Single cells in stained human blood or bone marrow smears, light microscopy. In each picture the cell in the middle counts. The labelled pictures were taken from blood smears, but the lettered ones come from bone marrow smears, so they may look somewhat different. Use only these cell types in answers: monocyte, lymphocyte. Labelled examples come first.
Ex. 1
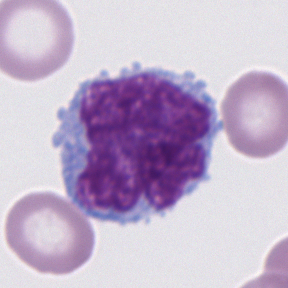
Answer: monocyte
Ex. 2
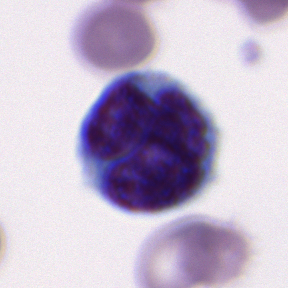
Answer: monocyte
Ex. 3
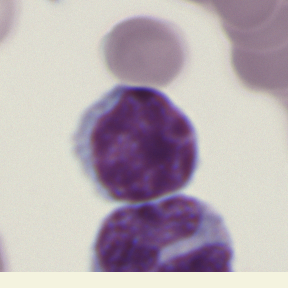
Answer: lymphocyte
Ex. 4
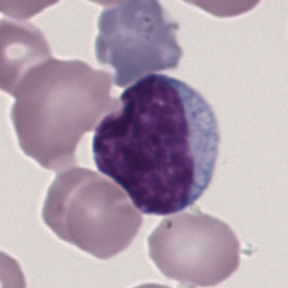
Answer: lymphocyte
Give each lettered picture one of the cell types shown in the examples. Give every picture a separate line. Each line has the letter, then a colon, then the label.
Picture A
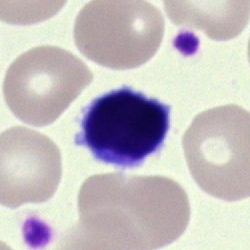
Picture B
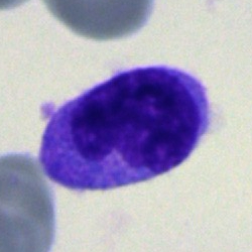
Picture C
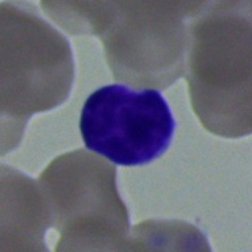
A: lymphocyte
B: monocyte
C: lymphocyte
